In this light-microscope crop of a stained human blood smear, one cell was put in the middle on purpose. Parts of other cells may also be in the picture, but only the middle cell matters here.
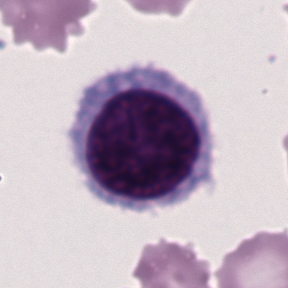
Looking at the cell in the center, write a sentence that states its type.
Here the centrally located cell is a hairy cell.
